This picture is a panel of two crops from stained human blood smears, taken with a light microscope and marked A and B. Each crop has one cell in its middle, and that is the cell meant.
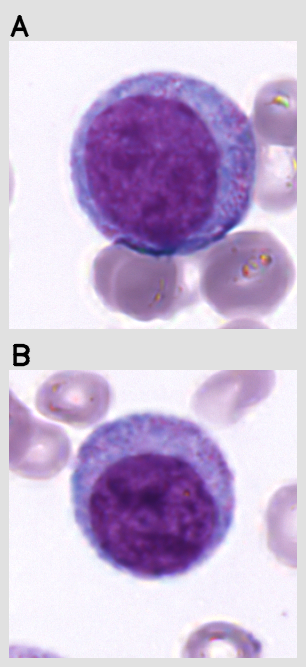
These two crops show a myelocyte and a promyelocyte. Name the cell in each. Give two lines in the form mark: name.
A: promyelocyte
B: myelocyte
